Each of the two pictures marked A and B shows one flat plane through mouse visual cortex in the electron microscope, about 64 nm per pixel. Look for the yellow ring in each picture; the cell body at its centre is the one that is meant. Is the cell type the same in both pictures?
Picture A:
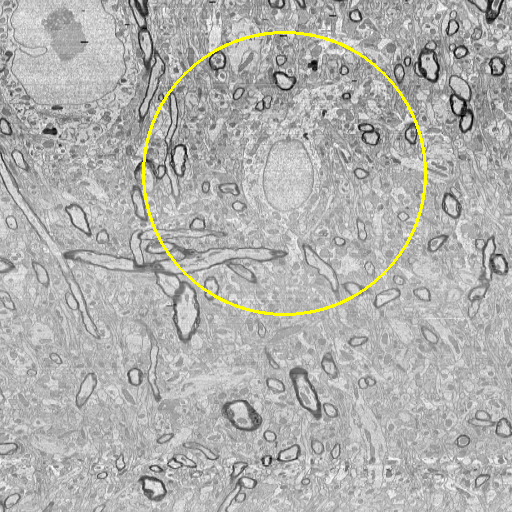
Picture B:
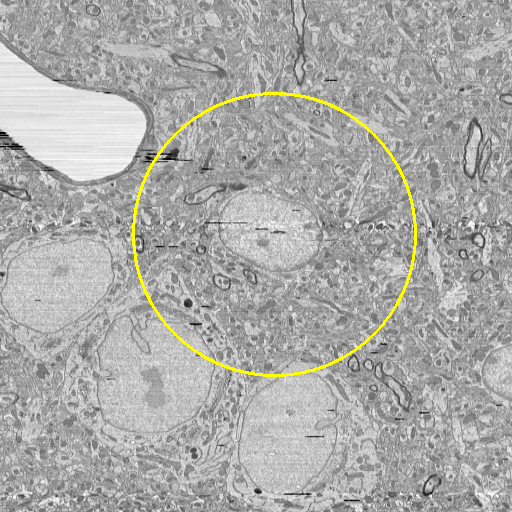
Yes, both cells are astrocytes.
